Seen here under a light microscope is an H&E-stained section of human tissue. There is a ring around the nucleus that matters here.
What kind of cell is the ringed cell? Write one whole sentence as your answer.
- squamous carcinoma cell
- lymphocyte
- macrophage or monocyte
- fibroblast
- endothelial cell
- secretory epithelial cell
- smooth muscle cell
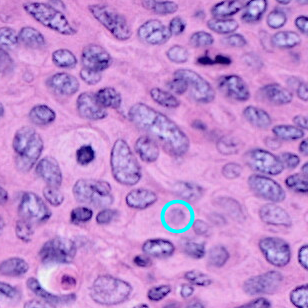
In the tissue under study, the ringed cell is a squamous carcinoma cell.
